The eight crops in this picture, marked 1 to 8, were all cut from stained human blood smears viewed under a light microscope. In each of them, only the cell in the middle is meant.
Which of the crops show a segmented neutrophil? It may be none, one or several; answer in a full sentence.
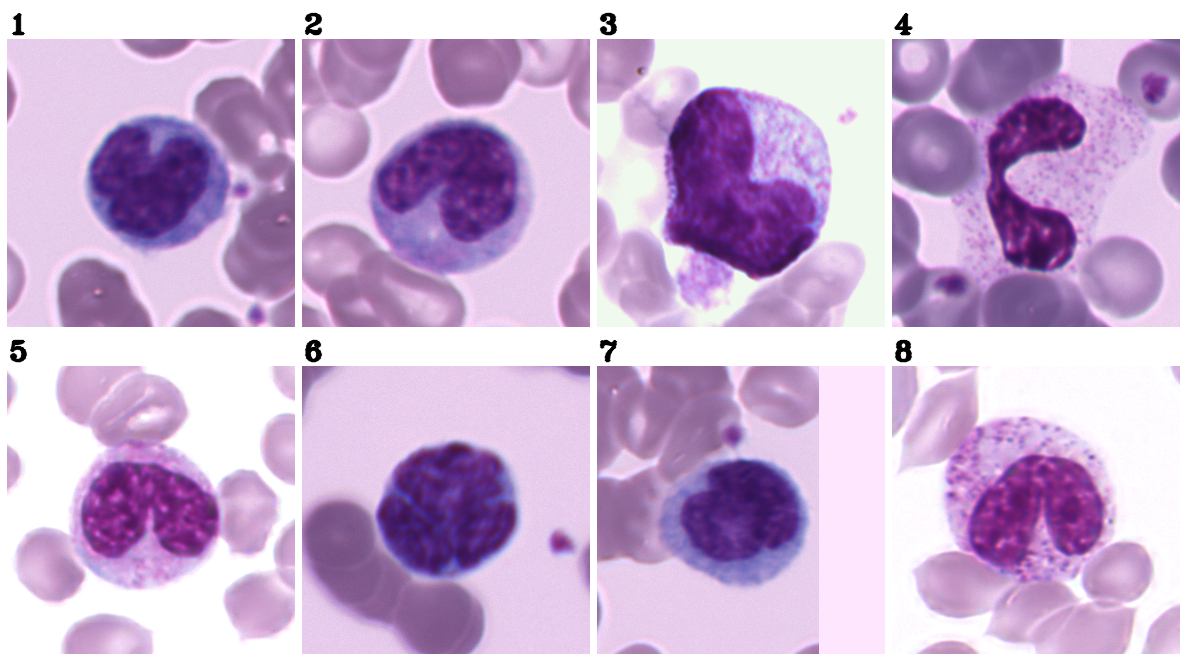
The crop that shows a segmented neutrophil is crop 4, and it is the only one.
